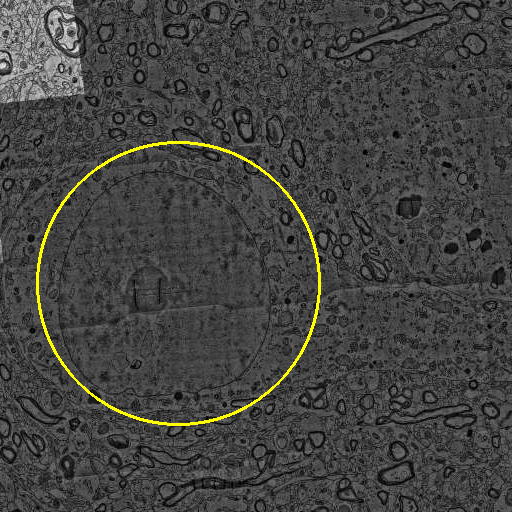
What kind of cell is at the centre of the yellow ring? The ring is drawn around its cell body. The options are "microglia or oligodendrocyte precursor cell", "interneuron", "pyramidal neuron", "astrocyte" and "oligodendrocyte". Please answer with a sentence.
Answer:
The yellow ring marks the cell body of a pyramidal neuron.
